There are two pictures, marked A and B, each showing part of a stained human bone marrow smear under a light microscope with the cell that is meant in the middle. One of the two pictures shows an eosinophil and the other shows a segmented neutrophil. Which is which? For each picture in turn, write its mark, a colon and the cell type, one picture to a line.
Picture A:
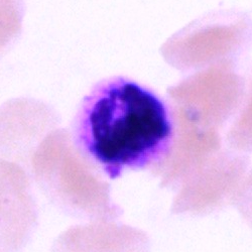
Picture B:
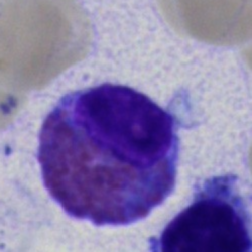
A: segmented neutrophil
B: eosinophil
